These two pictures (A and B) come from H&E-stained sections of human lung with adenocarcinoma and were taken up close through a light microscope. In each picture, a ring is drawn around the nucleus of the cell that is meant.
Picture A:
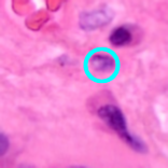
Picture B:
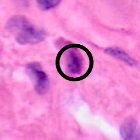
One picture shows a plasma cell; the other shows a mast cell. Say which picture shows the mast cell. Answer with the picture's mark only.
A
